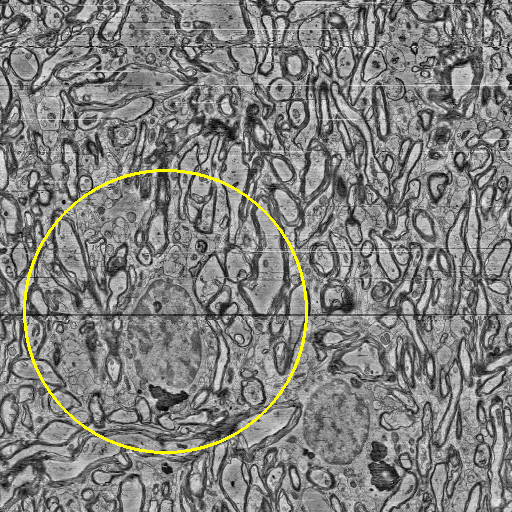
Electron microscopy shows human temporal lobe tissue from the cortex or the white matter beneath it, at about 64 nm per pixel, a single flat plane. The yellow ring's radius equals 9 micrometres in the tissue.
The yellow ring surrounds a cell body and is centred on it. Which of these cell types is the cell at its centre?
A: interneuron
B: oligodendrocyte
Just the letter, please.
B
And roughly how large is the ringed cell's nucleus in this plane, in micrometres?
The nucleus has a long axis of about 7 micrometres and a short axis of about 5 micrometres in this plane.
